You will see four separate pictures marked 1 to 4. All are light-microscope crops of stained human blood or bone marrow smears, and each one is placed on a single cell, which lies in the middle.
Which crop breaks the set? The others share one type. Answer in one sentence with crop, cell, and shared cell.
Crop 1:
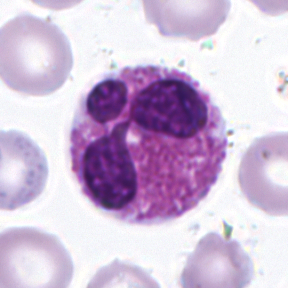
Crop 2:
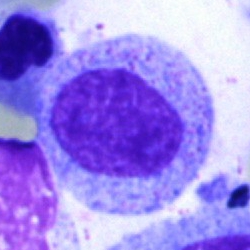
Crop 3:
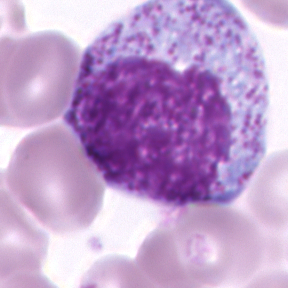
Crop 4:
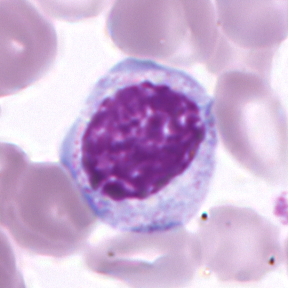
Seen in crop 1 is an eosinophil, and seen in all other crops are myelocytes.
